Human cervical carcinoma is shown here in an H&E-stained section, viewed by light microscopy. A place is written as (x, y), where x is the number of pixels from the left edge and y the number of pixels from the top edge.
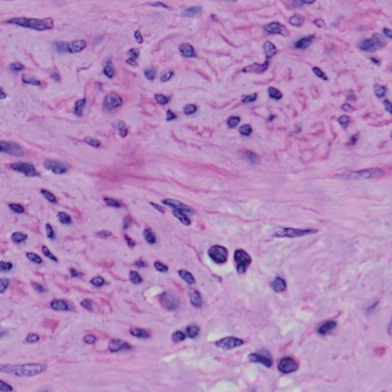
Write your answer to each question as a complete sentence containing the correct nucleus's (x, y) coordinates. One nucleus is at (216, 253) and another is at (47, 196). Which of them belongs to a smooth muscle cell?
Of the two nuclei, it is the one at (47, 196) that lies within a smooth muscle cell.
